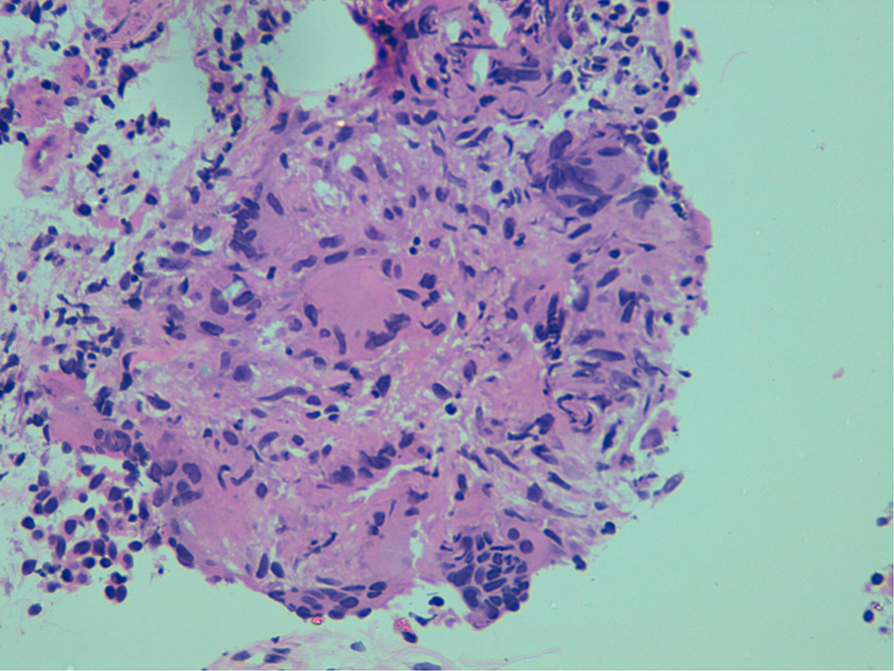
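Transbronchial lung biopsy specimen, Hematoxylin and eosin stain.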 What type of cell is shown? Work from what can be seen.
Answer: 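Large pink multinucleated cells within the nodule. Nuclei arranged along the edge of the giant cells, in a ring or horseshoe.
Langhans-type giant cells.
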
